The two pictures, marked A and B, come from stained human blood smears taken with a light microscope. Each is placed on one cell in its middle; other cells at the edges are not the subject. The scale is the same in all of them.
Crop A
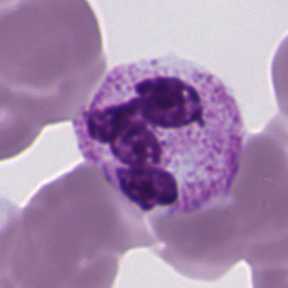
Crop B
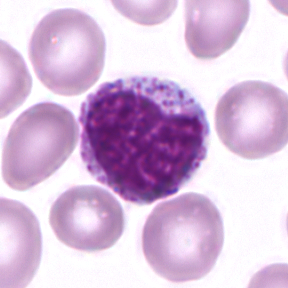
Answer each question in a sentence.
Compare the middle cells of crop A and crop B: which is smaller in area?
It is the cell in crop B; the cell in crop A has about 1.5 times its area.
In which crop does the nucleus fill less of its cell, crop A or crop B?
It is the cell in crop A that is filled less by its nucleus.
